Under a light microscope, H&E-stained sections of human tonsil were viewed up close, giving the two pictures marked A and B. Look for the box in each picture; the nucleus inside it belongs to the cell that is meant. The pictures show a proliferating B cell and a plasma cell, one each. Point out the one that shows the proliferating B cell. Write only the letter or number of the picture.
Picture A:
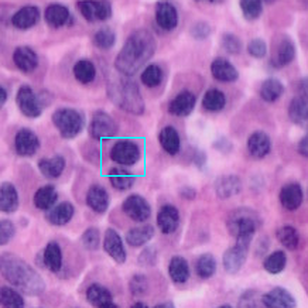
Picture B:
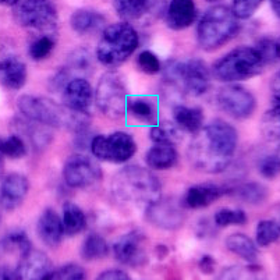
B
